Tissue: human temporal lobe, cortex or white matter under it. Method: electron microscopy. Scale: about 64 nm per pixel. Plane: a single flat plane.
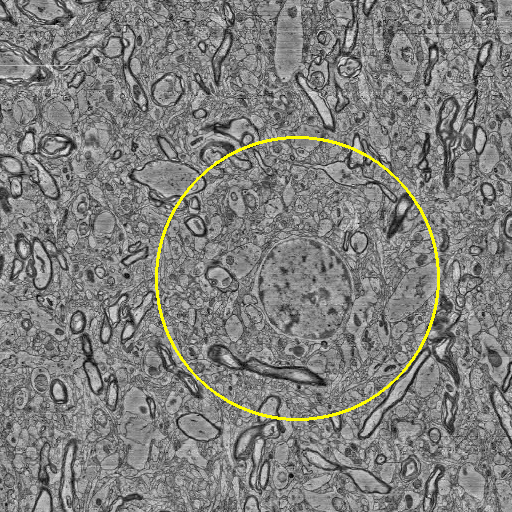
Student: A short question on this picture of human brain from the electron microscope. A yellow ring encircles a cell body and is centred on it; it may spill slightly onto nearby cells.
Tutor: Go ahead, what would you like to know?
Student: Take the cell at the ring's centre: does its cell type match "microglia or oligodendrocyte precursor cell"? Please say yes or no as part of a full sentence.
Yes, in the picture, the cell at the ring's centre has that cell type.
